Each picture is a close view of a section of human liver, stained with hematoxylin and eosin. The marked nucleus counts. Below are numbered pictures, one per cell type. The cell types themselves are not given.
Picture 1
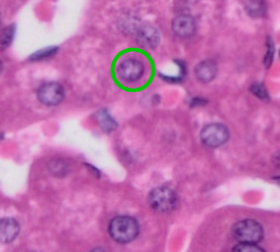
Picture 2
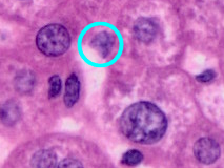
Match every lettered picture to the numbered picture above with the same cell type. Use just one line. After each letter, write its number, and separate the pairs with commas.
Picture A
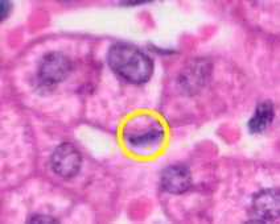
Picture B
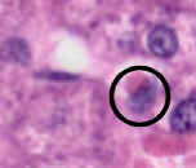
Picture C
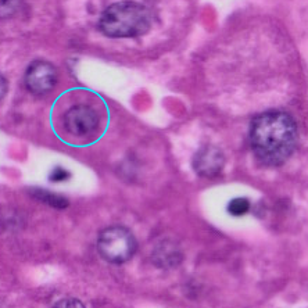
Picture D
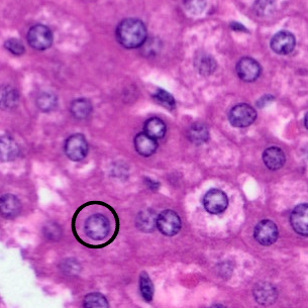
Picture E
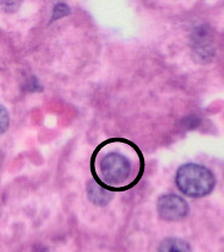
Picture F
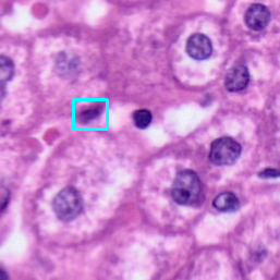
A 2, B 2, C 1, D 1, E 1, F 2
